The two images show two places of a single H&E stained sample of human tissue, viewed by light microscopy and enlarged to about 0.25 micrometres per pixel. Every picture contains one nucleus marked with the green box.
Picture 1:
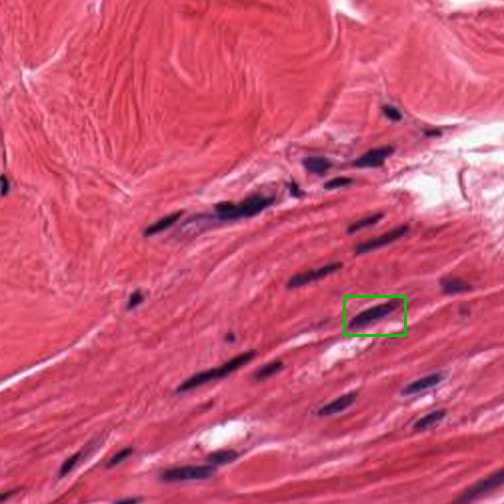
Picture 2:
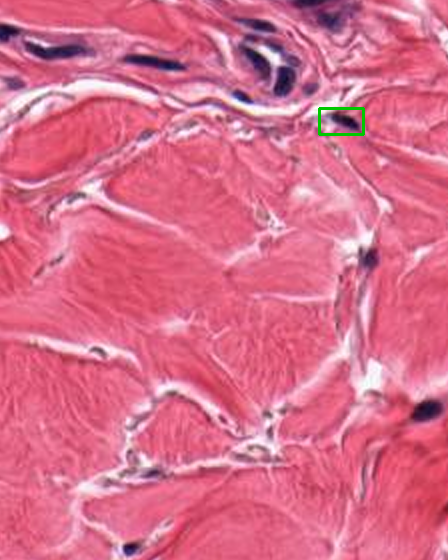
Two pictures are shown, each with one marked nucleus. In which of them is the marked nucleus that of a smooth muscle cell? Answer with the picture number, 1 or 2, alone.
1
